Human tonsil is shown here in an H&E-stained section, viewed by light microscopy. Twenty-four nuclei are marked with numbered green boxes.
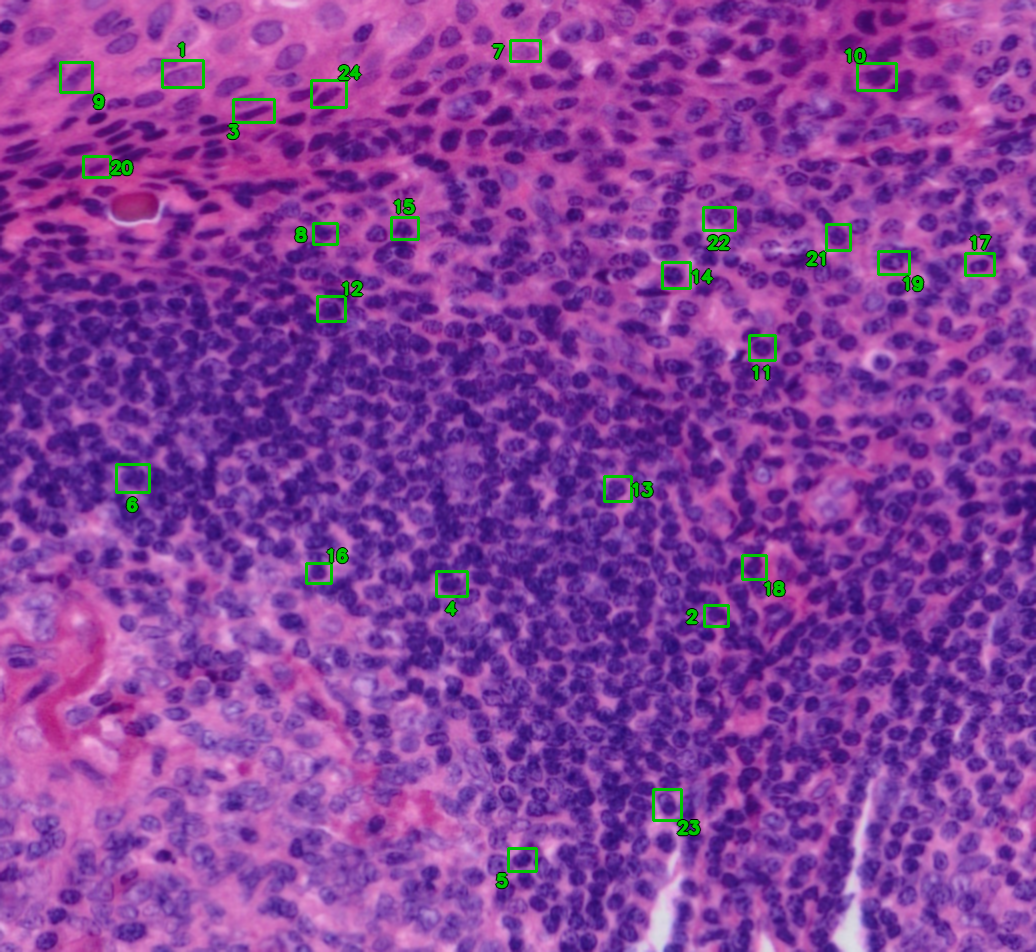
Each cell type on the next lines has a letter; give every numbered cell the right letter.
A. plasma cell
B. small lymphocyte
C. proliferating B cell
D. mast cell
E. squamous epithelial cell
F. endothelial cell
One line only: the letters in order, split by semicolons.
E; B; E; B; B; B; E; A; E; E; A; B; B; A; A; B; A; B; A; E; A; A; B; E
